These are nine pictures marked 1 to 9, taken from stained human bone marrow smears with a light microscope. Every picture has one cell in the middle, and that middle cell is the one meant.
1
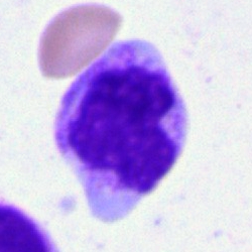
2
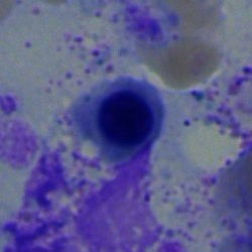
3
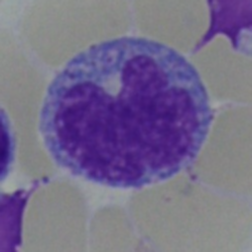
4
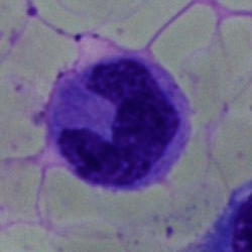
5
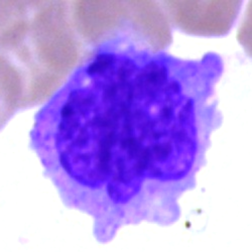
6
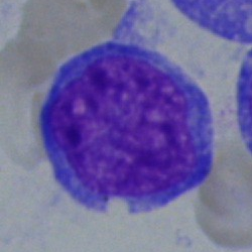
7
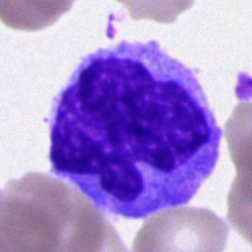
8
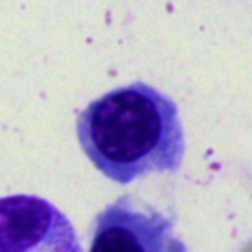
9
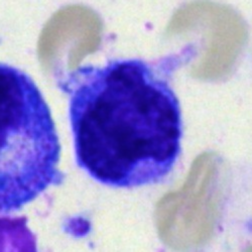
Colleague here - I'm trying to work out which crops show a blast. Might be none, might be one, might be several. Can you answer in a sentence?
Crop 6 is unique in this set in showing a blast.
